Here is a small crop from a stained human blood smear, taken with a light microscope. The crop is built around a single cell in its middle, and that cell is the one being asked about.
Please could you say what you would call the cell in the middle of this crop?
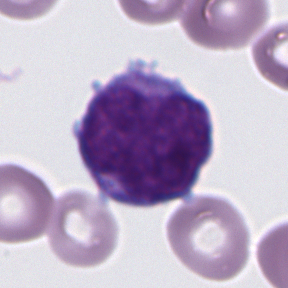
atypical promyelocyte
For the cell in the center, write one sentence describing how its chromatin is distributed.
If you check the nucleus, you will find the chromatin coarsely clumped.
